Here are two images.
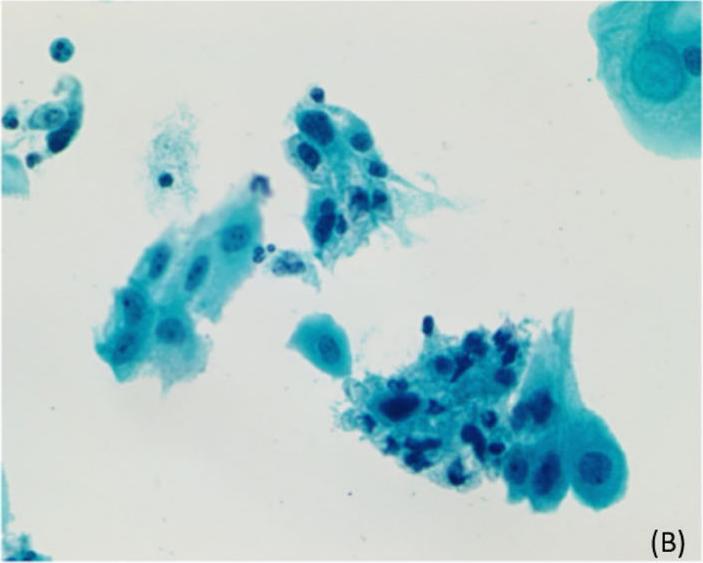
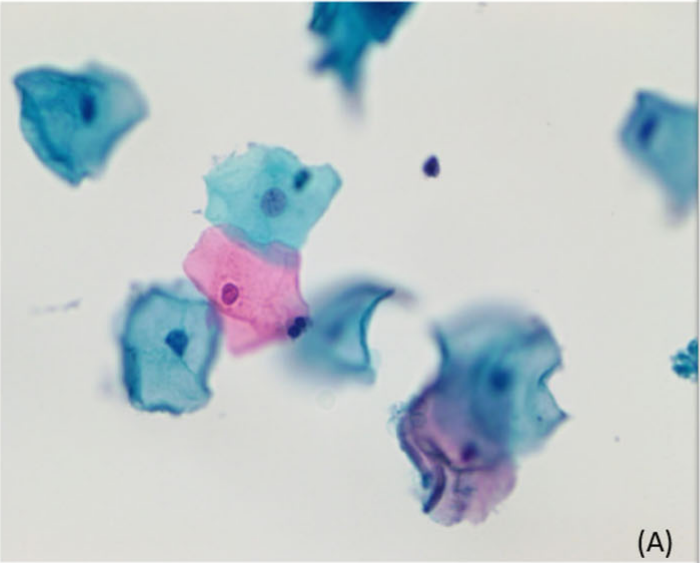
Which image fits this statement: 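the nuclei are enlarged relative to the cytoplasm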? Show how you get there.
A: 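First image: cells in sheets have large oval nuclei filling much of the cell. Second image: single flat cells have small round nuclei in abundant cytoplasm. So: the first image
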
